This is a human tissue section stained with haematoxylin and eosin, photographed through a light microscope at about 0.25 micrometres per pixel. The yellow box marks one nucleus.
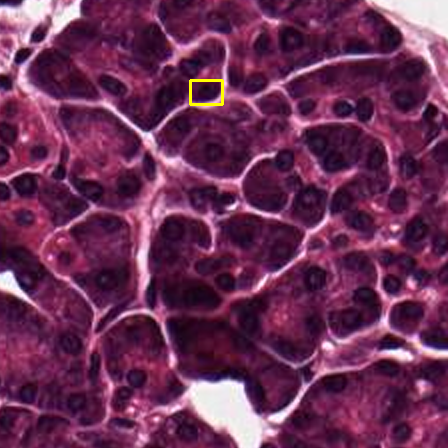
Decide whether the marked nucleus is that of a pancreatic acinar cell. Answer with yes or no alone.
yes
